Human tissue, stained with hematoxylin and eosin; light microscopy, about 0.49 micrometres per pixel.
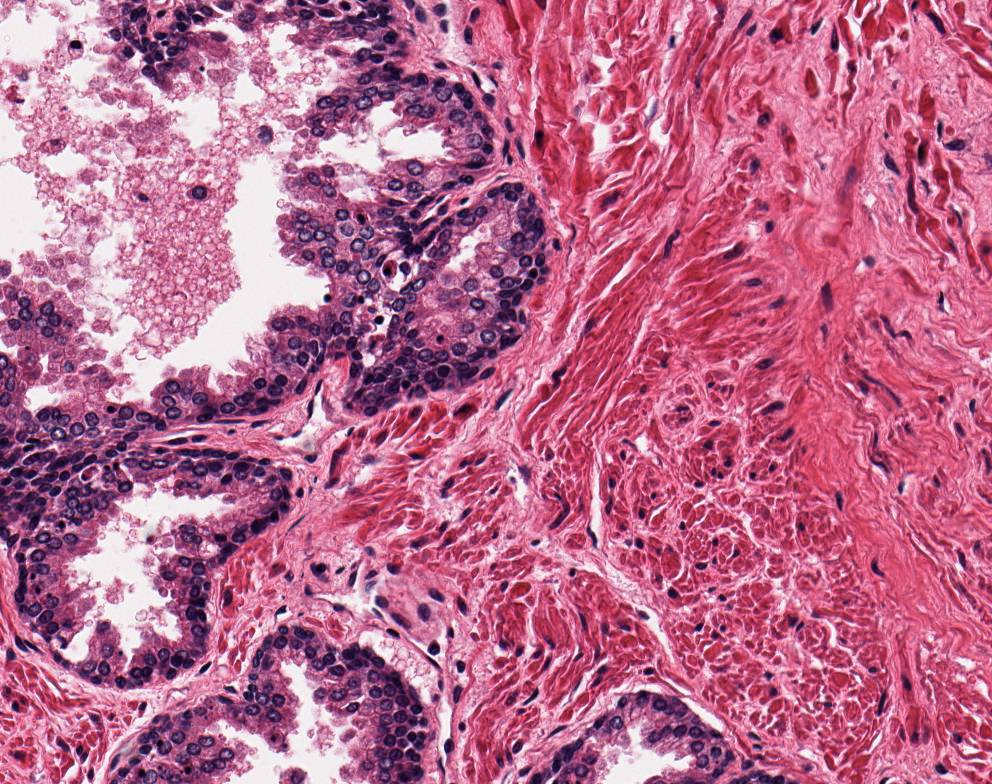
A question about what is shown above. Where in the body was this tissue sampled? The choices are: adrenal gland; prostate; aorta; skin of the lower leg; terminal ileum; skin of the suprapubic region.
prostate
